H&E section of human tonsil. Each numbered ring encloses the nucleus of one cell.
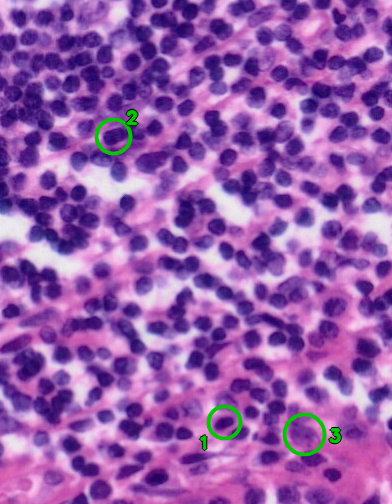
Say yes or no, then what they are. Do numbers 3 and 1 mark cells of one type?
Yes, cells 3 and 1 are both identified as endothelial cells.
